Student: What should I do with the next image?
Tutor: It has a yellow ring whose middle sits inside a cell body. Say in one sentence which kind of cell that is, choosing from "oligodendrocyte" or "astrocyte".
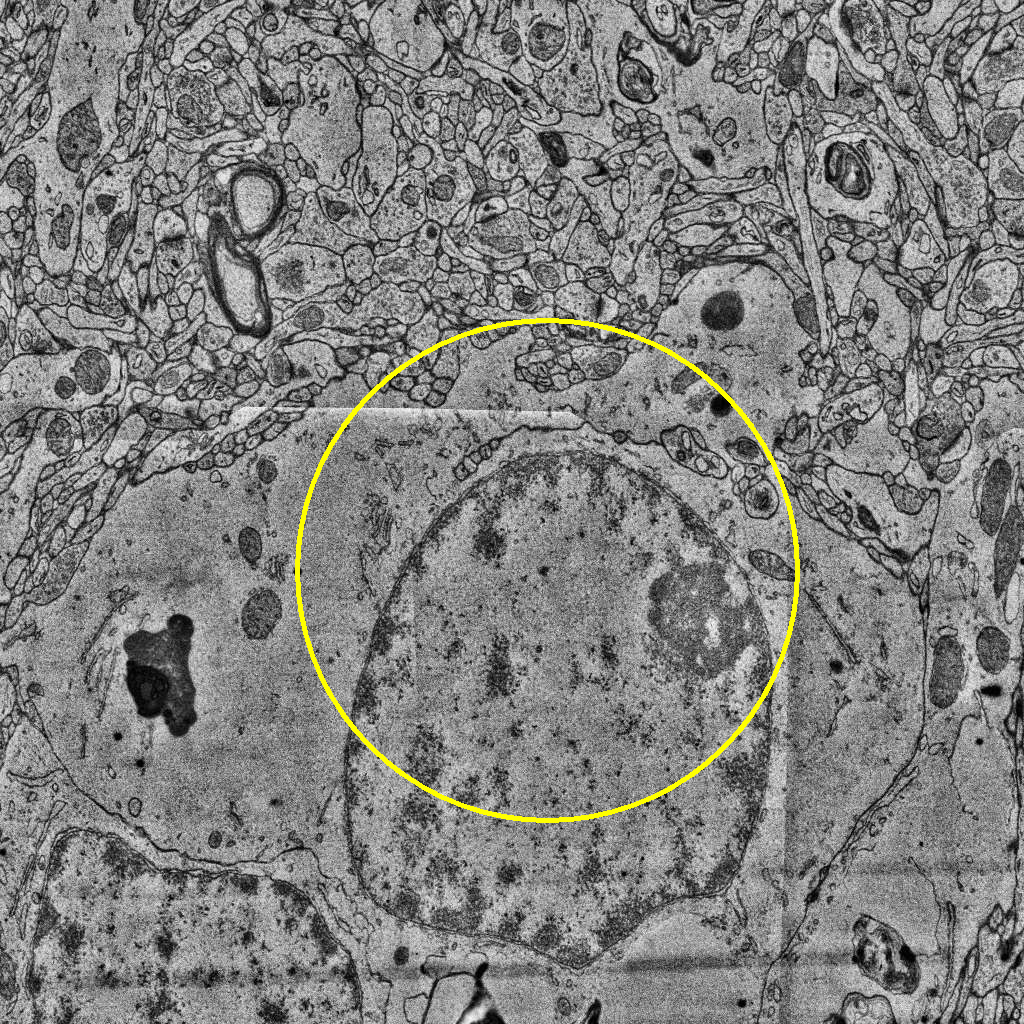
The ring's centre is occupied by an astrocyte.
